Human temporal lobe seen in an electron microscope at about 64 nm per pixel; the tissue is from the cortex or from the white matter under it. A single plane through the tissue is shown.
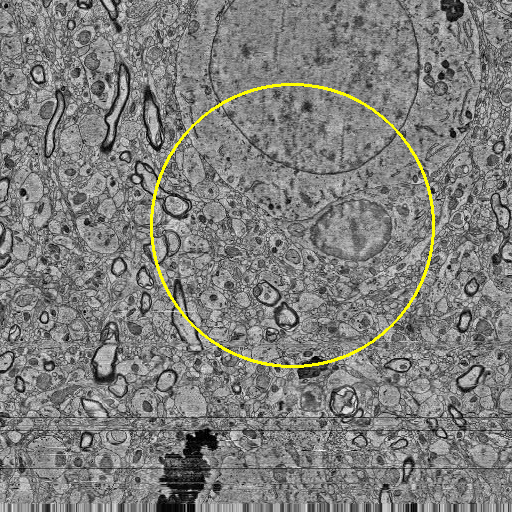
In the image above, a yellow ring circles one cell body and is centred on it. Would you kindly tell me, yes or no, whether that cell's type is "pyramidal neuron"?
no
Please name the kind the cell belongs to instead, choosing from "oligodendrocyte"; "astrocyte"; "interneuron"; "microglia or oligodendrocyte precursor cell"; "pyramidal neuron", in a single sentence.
Instead, the cell inside the ring is an oligodendrocyte.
